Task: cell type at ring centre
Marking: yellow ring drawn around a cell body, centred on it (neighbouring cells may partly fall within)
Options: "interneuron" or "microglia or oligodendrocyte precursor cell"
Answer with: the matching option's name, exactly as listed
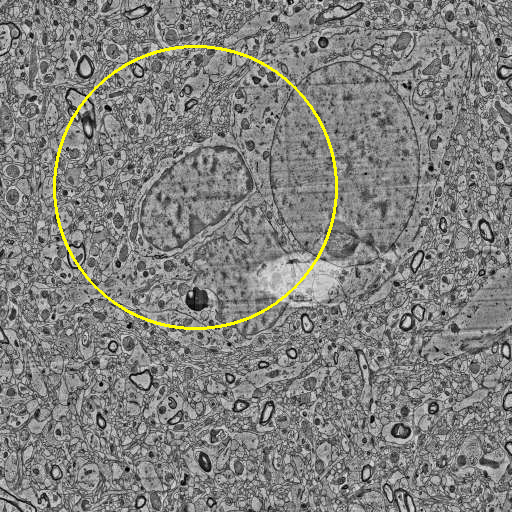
microglia or oligodendrocyte precursor cell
